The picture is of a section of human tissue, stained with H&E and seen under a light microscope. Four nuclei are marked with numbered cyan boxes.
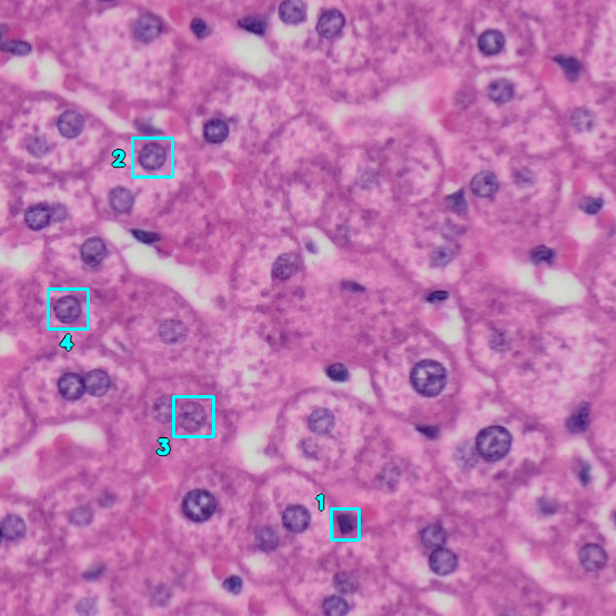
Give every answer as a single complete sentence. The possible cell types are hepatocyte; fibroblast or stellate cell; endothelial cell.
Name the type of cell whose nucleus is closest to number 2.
The nucleus nearest to number 2 is that of an endothelial cell.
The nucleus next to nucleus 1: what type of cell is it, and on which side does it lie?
Lying to the left of nucleus 1, the nearest nucleus is that of a hepatocyte.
